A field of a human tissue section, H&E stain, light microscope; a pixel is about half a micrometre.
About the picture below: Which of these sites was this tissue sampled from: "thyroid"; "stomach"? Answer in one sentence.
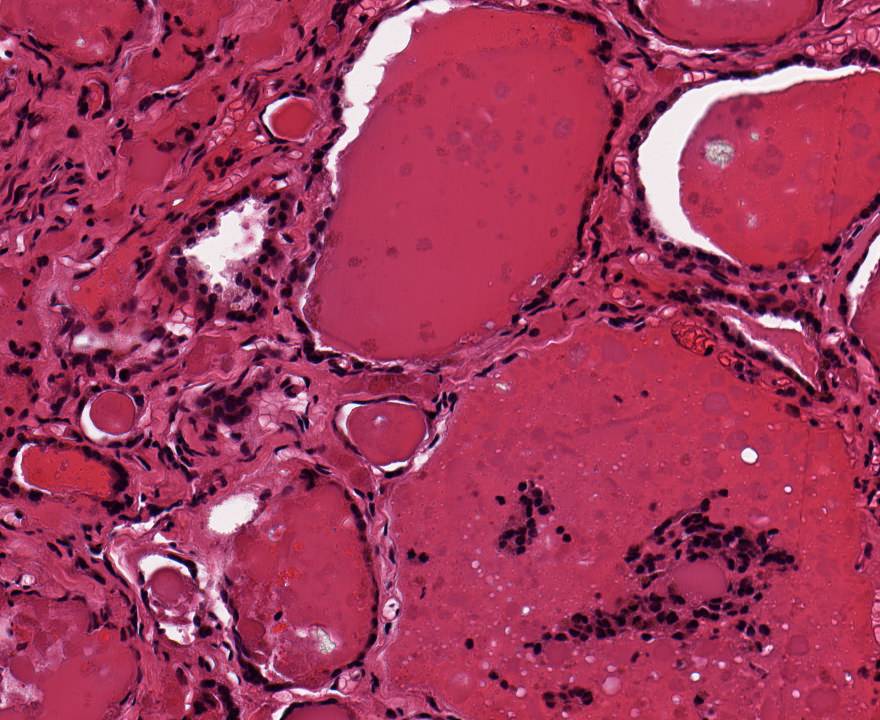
The site this tissue was sampled from is the thyroid.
